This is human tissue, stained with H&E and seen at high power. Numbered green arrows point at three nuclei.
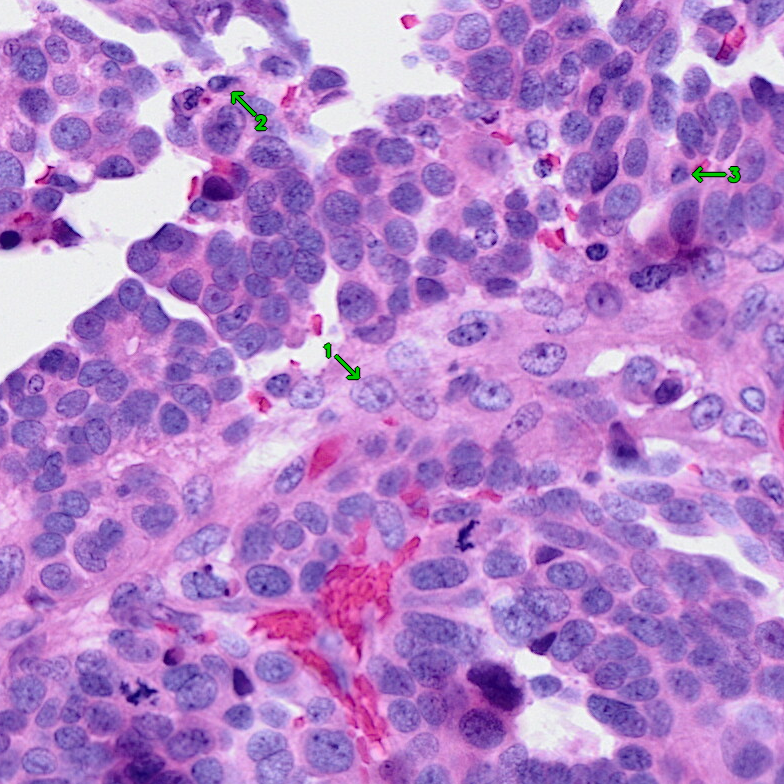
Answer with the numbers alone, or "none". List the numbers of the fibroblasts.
1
